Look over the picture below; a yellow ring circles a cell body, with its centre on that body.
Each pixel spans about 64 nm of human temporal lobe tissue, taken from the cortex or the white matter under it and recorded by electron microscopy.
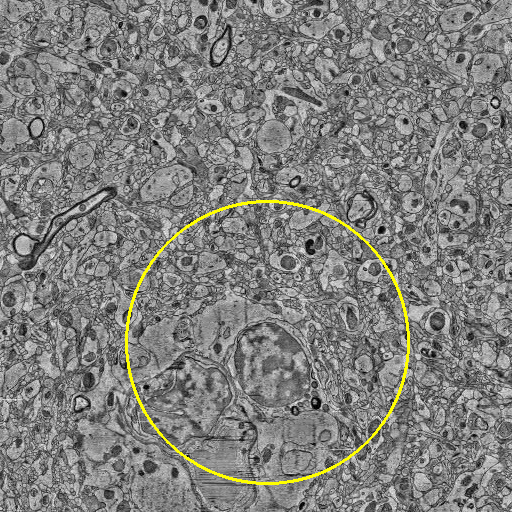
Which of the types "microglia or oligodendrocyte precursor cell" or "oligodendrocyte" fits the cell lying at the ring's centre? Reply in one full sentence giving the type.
The picture shows a microglial cell or oligodendrocyte precursor cell at the centre of the yellow ring.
